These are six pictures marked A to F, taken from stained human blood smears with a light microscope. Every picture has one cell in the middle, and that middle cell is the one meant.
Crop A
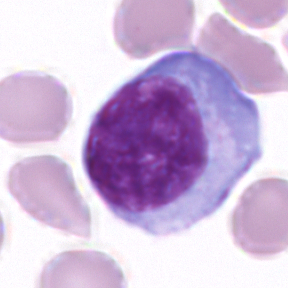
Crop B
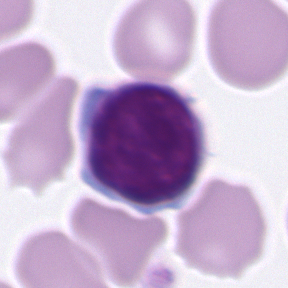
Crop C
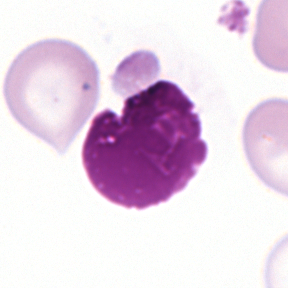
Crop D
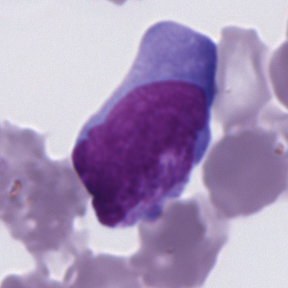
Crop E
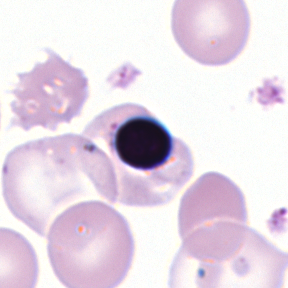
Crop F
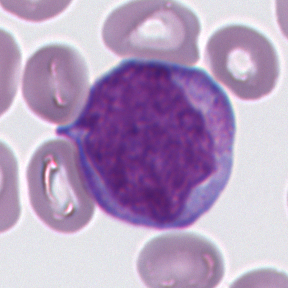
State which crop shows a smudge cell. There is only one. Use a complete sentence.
Look at crop C; that is the one with a smudge cell in its center.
